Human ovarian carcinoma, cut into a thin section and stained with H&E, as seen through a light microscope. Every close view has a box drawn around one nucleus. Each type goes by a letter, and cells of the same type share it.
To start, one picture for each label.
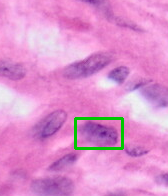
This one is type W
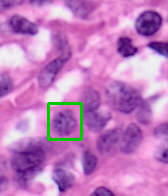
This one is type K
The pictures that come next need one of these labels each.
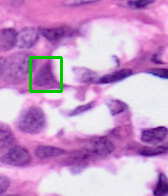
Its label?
type K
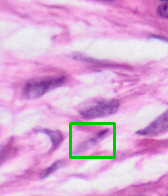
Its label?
type W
